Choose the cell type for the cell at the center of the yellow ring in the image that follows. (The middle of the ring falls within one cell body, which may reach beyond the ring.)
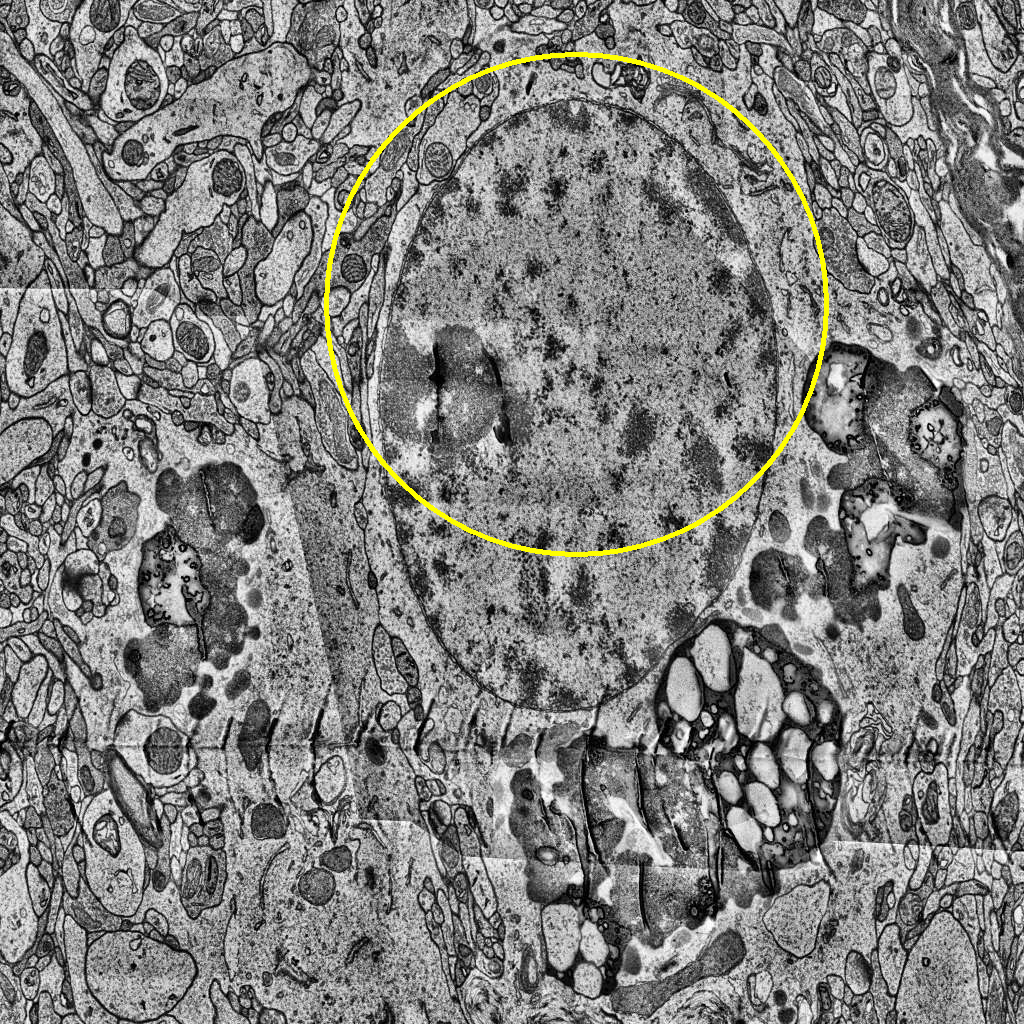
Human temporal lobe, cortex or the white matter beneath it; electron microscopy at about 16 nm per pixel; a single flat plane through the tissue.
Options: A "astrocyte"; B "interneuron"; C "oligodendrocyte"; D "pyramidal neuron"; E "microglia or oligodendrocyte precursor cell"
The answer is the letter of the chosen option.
A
